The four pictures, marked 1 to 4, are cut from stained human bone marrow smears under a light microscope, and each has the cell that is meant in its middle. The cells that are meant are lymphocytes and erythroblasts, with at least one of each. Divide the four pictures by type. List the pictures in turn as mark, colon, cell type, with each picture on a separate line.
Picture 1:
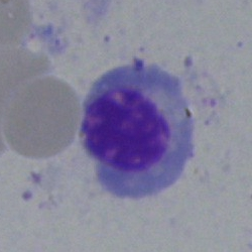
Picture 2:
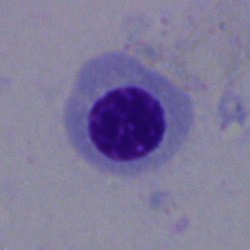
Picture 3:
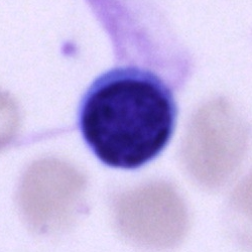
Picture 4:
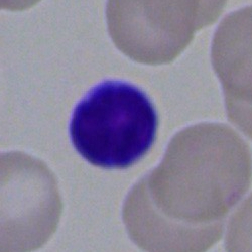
1: erythroblast
2: erythroblast
3: lymphocyte
4: lymphocyte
